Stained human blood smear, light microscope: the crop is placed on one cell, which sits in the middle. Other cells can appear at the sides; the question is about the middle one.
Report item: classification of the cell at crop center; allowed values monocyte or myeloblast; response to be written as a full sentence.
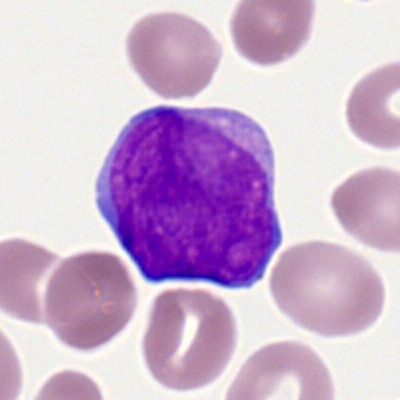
The crop's centre is taken up by a myeloblast.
